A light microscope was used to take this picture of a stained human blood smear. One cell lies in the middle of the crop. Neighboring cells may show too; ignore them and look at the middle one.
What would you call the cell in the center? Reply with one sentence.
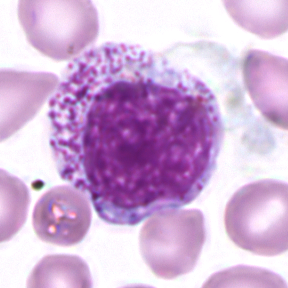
The central element of this crop is a cell, namely a myelocyte.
